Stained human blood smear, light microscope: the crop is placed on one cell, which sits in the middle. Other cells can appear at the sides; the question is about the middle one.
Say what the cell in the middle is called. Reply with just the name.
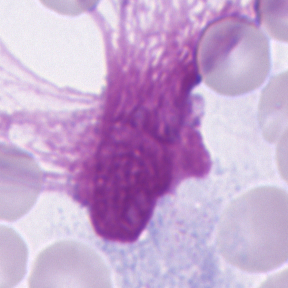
smudge cell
